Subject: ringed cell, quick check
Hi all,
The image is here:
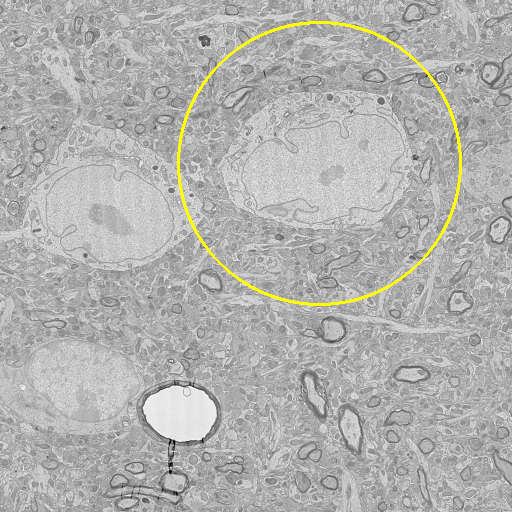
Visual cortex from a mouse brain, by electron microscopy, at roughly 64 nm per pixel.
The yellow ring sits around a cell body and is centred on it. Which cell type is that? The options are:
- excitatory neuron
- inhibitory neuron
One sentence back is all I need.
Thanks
That ringed cell is an inhibitory neuron.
